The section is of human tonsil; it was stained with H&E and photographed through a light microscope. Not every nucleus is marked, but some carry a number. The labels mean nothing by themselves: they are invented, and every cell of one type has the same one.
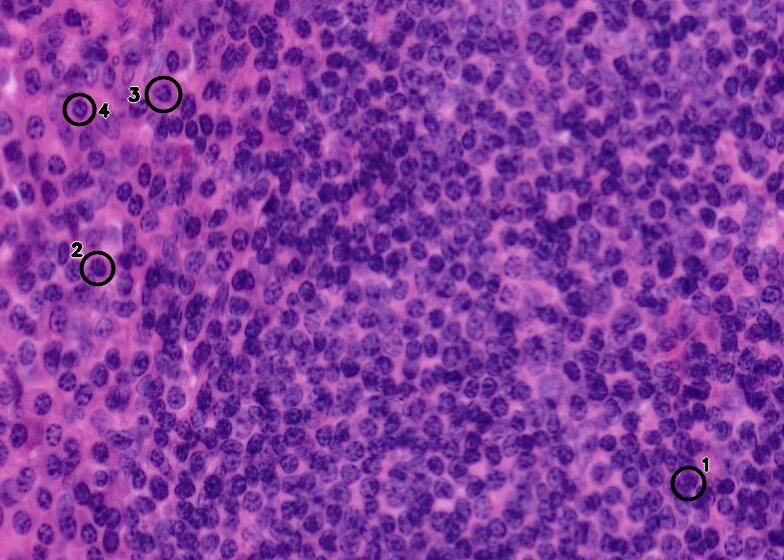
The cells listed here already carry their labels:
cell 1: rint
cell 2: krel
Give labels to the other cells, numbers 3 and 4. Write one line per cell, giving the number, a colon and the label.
3: krel
4: krel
